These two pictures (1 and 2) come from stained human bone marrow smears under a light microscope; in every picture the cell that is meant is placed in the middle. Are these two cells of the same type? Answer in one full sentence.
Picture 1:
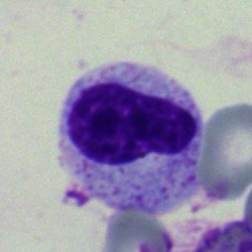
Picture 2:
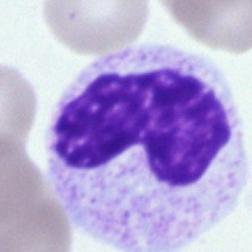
No. Picture 1 shows a metamyelocyte, but picture 2 shows a band neutrophil.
